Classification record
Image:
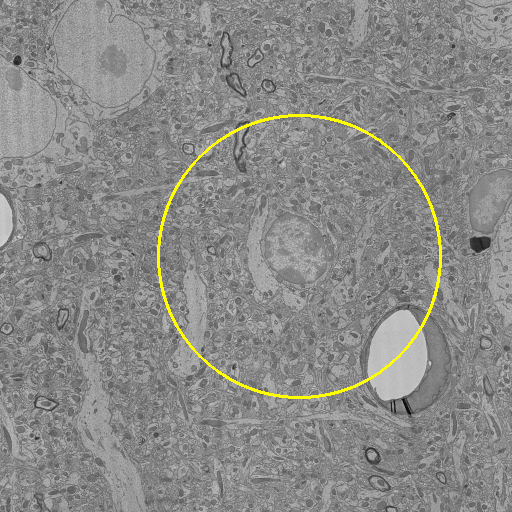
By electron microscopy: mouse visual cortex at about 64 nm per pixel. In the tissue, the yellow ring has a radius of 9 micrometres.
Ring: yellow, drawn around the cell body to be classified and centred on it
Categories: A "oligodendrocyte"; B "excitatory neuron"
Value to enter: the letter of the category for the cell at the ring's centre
A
